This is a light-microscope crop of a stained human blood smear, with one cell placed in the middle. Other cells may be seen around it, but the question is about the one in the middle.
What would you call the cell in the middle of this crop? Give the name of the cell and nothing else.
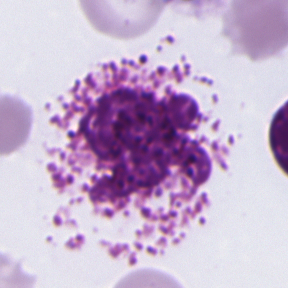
basophil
